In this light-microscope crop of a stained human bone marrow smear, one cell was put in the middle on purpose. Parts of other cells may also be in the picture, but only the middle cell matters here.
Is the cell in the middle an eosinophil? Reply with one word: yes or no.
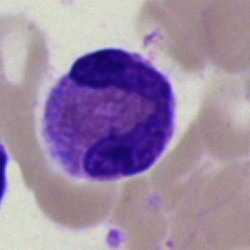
yes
